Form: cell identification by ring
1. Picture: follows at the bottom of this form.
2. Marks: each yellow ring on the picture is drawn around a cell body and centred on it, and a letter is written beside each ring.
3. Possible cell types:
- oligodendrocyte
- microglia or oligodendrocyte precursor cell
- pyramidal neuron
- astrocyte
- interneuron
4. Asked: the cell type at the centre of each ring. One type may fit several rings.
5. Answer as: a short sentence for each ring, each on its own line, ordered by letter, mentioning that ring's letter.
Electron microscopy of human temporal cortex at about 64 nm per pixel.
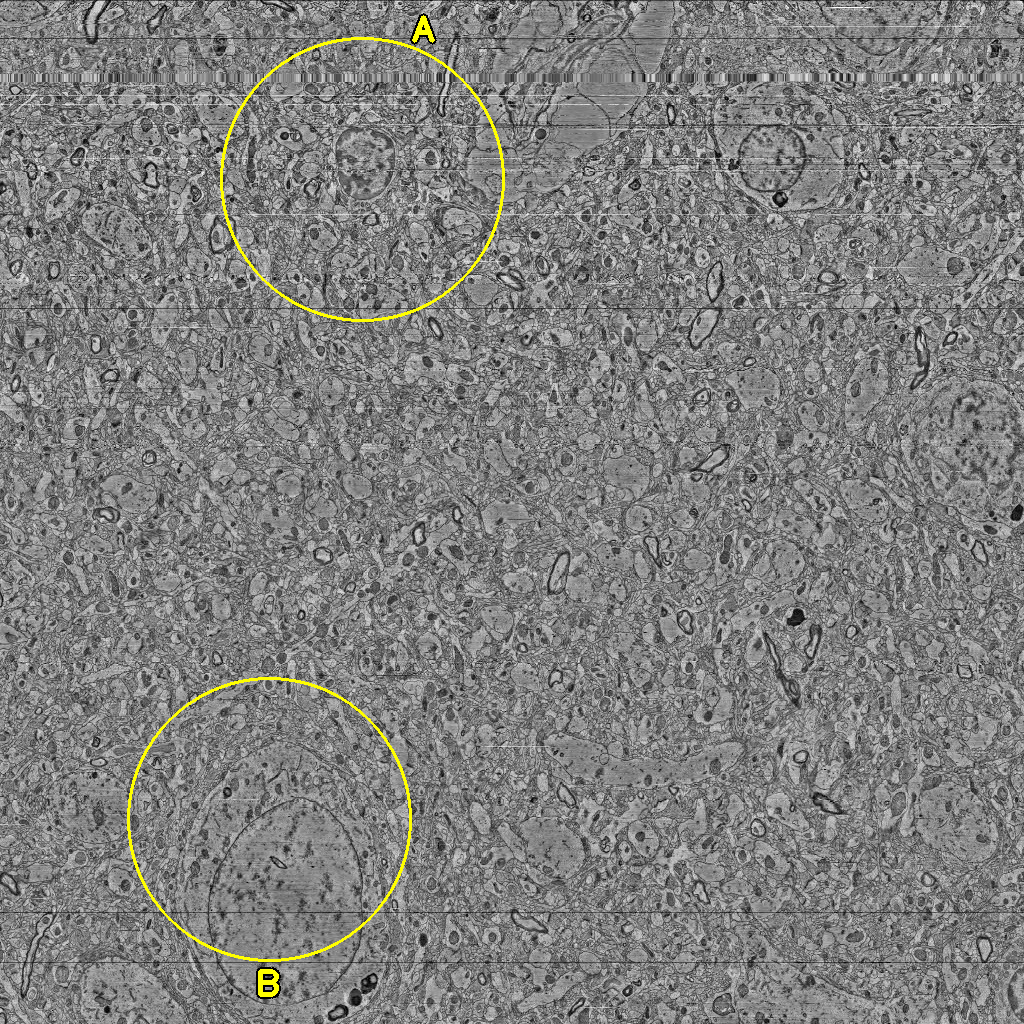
The cell at ring A's centre is a microglial cell or oligodendrocyte precursor cell.
The cell at ring B's centre is a pyramidal neuron.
